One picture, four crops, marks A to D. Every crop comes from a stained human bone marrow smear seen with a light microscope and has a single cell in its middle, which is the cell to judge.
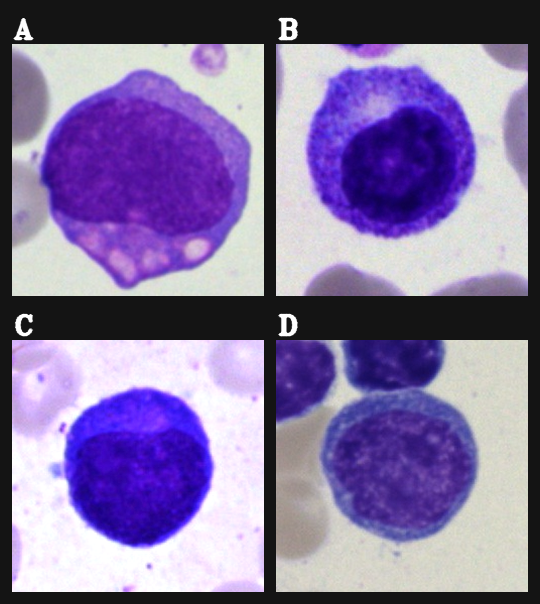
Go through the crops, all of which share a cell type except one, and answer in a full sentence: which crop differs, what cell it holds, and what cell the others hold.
Crop B does not match the others; it shows a promyelocyte, and they show blasts.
